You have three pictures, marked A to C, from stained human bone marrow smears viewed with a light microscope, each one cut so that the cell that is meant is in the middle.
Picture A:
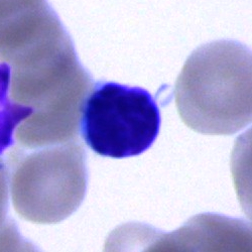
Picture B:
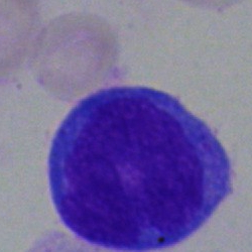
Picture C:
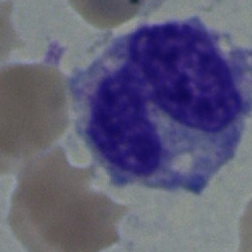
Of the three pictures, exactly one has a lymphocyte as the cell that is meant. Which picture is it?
A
